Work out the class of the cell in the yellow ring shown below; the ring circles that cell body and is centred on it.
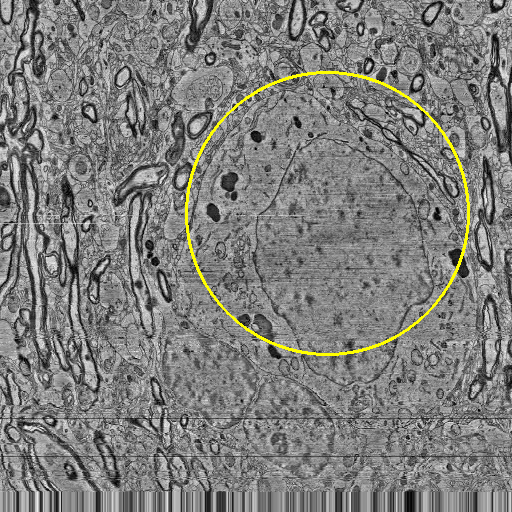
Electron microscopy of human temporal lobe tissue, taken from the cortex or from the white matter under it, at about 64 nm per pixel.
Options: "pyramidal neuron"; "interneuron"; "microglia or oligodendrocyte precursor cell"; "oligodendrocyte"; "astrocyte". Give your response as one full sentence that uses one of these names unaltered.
The body ringed in yellow, right at the ring's centre, is that of a pyramidal neuron.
